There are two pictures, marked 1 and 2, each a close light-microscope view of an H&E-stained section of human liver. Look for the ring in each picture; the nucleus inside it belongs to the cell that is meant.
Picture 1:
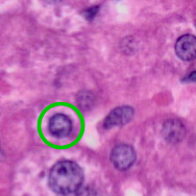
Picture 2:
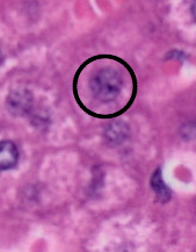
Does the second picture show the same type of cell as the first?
yes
